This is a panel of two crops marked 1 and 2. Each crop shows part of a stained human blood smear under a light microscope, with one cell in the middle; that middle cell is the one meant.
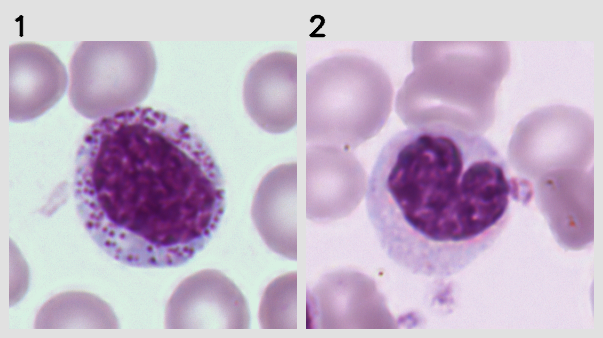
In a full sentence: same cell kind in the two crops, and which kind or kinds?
No, in crop 1 there is a metamyelocyte, and in crop 2 there is a band neutrophil.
